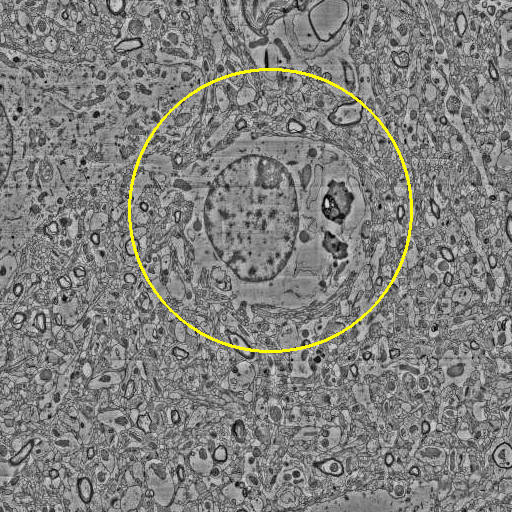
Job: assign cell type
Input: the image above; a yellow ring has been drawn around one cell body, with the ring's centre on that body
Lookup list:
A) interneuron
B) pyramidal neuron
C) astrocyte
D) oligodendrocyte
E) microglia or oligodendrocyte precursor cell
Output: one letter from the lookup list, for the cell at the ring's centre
C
